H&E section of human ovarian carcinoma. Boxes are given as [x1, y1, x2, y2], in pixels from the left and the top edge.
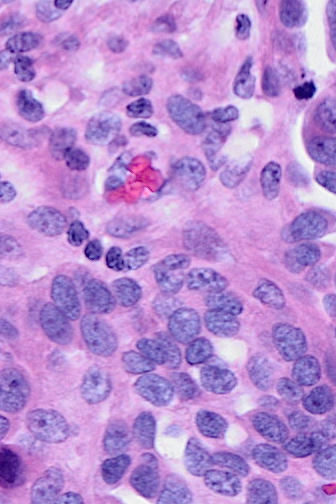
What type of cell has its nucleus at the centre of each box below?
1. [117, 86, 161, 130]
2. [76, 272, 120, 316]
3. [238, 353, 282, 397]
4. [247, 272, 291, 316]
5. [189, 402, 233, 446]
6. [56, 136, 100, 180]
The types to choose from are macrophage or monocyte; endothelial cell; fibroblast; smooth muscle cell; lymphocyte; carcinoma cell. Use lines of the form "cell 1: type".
cell 1: lymphocyte
cell 2: carcinoma cell
cell 3: carcinoma cell
cell 4: fibroblast
cell 5: carcinoma cell
cell 6: lymphocyte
